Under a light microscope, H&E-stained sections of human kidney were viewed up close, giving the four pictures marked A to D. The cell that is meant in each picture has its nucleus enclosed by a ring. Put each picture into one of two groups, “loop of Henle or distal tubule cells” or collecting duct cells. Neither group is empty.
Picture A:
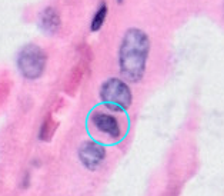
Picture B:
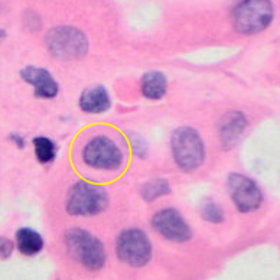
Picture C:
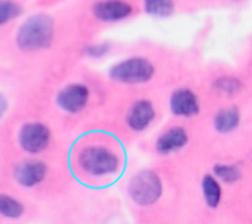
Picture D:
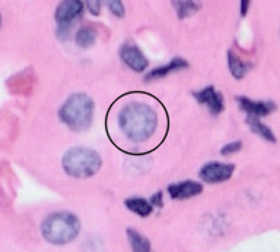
A: collecting duct cell
B: collecting duct cell
C: loop of Henle or distal tubule cell
D: loop of Henle or distal tubule cell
